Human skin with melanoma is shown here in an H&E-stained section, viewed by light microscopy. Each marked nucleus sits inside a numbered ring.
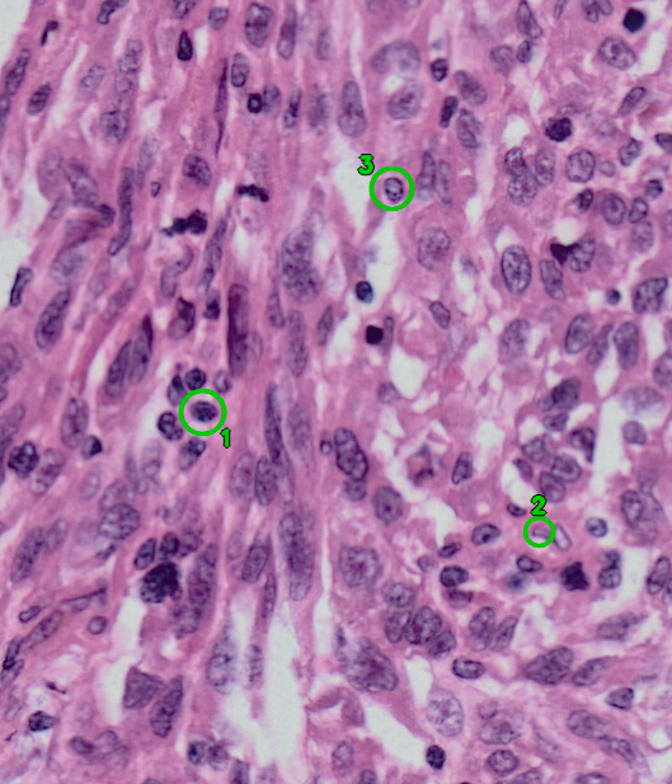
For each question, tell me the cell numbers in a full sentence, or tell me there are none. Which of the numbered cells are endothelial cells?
Only the nucleus marked 2 is that of an endothelial cell.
